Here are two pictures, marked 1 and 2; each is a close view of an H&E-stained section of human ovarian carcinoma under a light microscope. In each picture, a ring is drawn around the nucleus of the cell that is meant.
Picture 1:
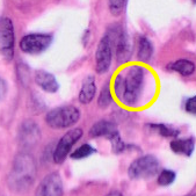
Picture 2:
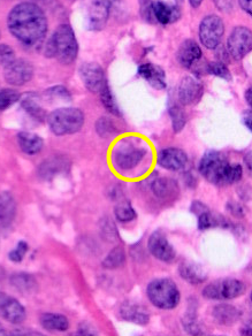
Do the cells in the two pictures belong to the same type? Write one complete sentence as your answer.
Yes, they are the same type: both are carcinoma cells.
